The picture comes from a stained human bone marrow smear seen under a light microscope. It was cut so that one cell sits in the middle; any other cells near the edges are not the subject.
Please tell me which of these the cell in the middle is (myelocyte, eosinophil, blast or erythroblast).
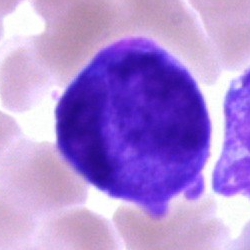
blast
